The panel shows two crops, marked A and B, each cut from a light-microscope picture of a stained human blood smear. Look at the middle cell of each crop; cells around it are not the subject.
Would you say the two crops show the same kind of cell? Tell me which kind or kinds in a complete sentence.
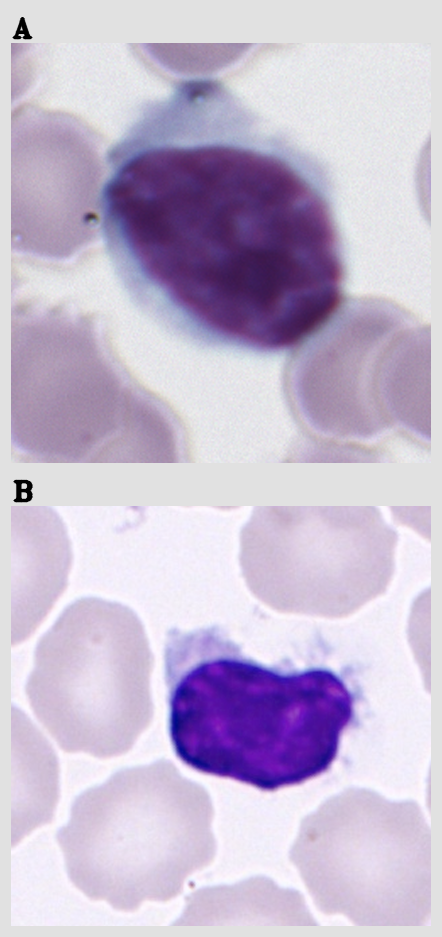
Yes, both crops show lymphocytes as their central cells.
